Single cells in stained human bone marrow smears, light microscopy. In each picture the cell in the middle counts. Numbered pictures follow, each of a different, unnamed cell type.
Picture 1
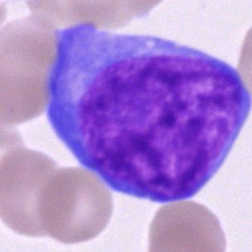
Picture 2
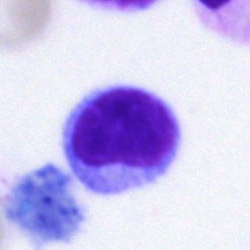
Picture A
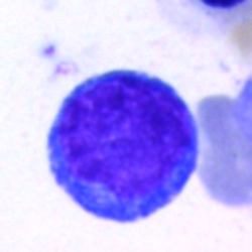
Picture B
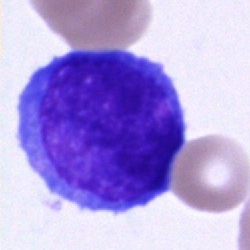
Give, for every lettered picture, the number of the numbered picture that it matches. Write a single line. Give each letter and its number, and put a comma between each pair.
A 2, B 1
